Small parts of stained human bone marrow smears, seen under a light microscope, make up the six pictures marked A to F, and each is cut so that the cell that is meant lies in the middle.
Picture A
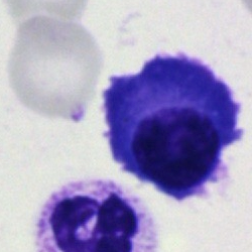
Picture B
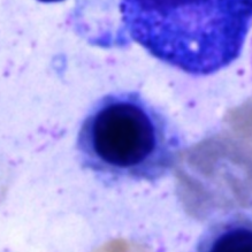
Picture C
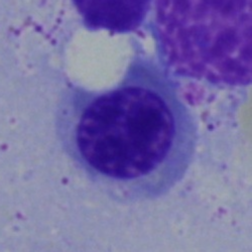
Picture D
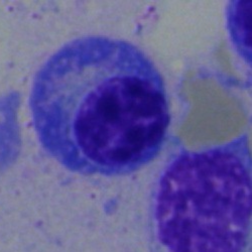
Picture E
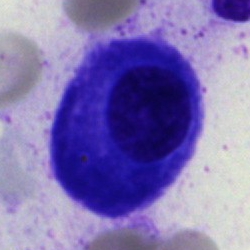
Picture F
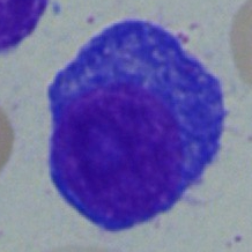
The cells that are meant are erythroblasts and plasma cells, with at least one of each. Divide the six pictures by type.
A: plasma cell
B: erythroblast
C: erythroblast
D: plasma cell
E: plasma cell
F: plasma cell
